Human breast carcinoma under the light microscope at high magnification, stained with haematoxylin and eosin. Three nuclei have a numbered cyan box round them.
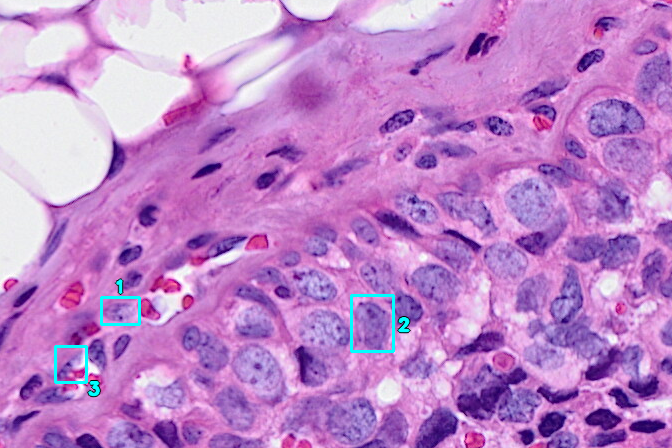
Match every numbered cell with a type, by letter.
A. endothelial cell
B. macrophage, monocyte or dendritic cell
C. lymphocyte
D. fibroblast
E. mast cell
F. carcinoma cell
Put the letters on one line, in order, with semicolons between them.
A; F; A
